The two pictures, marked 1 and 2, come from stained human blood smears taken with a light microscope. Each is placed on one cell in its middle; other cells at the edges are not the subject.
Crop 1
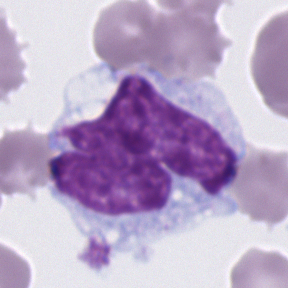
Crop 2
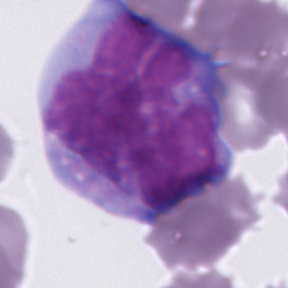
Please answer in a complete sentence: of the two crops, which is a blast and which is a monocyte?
The cell that crop 1 centres on is a monocyte, and the cell that crop 2 centres on is a blast.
